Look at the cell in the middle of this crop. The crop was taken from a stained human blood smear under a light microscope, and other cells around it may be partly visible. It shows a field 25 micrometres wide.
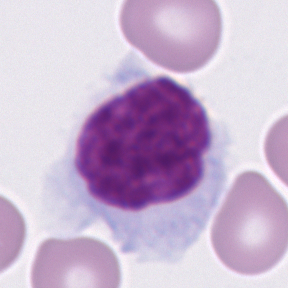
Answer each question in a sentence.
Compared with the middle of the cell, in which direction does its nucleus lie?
Seen from the middle of the cell, the nucleus lies toward the top.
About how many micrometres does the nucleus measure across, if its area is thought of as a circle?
The diameter of the nucleus comes to about 11 micrometres.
